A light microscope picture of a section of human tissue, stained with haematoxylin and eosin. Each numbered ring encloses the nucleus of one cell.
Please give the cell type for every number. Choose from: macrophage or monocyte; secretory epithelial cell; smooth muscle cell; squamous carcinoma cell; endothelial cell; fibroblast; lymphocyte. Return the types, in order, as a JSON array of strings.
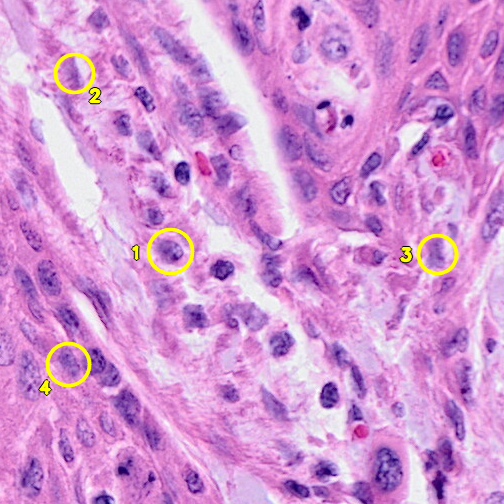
["macrophage or monocyte", "fibroblast", "fibroblast", "squamous carcinoma cell"]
